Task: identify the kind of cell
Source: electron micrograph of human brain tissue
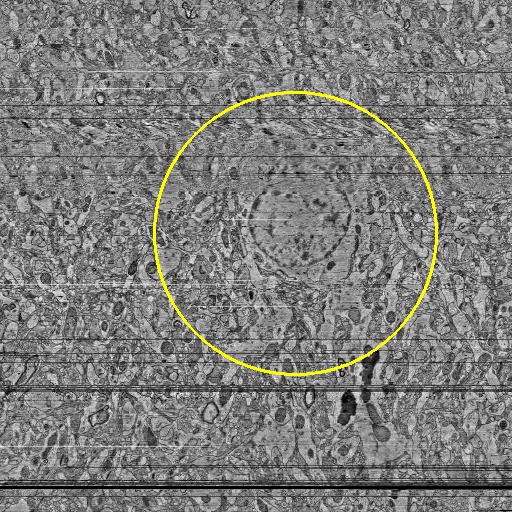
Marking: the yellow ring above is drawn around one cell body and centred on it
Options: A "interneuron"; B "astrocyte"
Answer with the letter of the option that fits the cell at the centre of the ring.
B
